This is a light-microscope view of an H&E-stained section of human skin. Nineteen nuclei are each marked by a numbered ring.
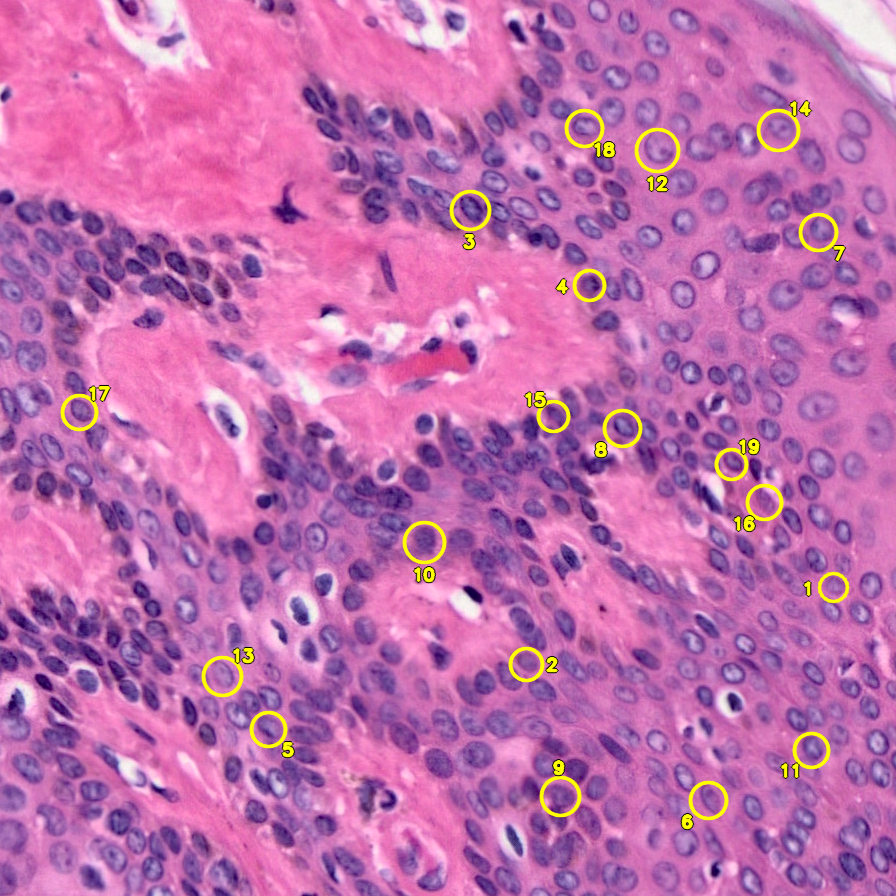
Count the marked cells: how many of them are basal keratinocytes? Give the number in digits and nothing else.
10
